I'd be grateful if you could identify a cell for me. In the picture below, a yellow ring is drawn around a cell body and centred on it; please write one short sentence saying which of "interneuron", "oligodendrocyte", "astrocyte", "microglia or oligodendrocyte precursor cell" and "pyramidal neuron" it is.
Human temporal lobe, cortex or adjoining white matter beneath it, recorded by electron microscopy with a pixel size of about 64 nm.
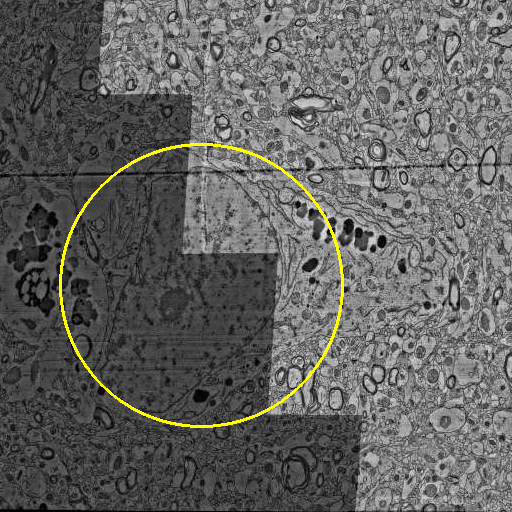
The cell under the ring's centre is a pyramidal neuron.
